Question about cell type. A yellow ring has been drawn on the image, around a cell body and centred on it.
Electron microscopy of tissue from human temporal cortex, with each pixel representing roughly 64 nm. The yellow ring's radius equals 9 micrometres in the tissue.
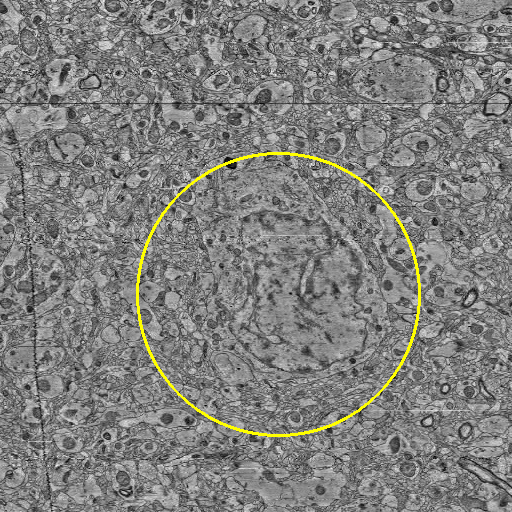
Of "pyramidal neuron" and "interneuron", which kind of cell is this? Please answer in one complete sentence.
At the centre of the ring lies an interneuron.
